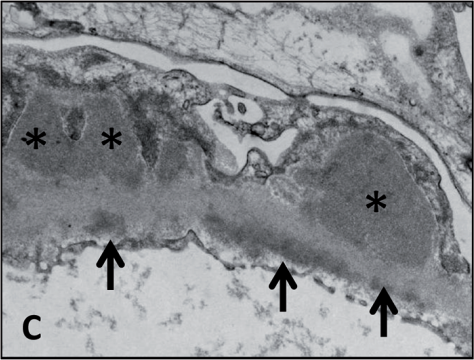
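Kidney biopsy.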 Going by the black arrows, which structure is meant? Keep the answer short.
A: Subendothelial deposits.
